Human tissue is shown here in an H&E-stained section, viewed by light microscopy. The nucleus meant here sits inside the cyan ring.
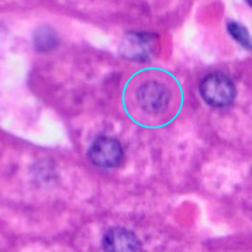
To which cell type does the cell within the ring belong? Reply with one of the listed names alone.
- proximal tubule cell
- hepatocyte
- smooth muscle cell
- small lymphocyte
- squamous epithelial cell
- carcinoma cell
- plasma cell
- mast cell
hepatocyte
